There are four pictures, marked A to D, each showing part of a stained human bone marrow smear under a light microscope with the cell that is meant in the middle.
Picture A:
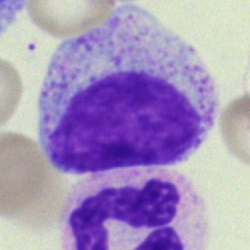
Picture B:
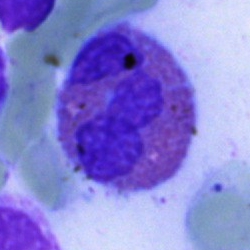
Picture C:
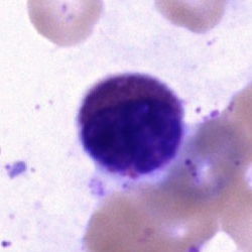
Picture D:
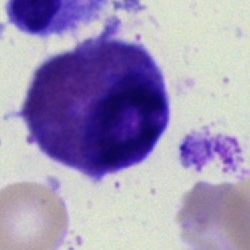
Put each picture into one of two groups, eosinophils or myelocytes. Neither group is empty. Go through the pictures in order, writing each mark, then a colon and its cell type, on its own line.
A: myelocyte
B: eosinophil
C: eosinophil
D: eosinophil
